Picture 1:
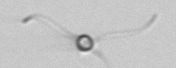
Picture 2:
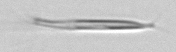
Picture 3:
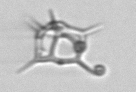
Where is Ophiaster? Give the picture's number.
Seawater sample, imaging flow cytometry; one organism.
1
